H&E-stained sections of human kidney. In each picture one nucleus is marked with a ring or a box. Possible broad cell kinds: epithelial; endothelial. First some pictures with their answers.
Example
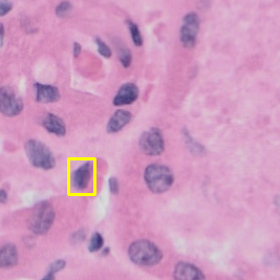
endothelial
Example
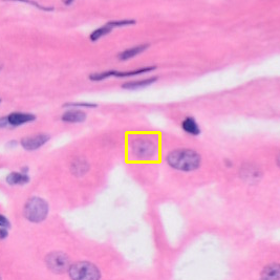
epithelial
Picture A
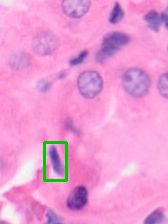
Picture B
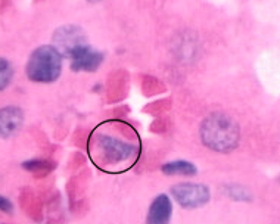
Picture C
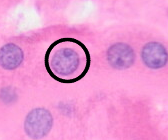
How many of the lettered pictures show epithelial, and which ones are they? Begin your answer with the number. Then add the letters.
1, namely C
